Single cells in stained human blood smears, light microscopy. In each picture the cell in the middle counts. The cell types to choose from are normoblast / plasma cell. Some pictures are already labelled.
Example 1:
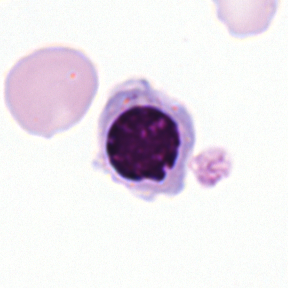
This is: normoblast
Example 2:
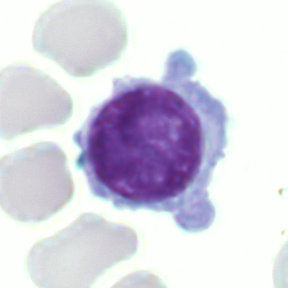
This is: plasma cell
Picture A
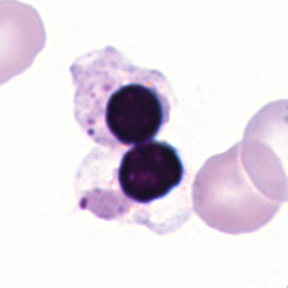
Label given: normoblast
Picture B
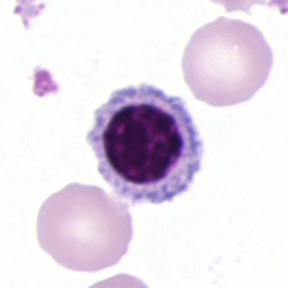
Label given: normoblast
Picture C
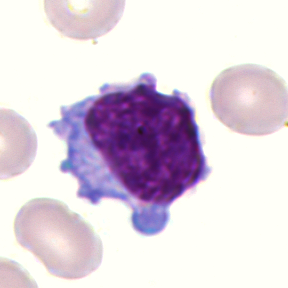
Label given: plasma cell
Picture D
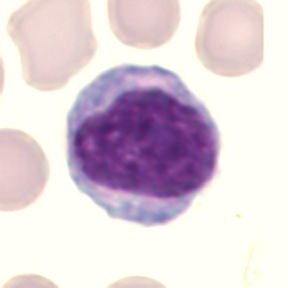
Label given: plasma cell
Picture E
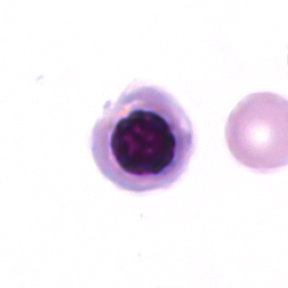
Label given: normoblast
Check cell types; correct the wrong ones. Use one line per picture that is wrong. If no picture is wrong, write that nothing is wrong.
All correct.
